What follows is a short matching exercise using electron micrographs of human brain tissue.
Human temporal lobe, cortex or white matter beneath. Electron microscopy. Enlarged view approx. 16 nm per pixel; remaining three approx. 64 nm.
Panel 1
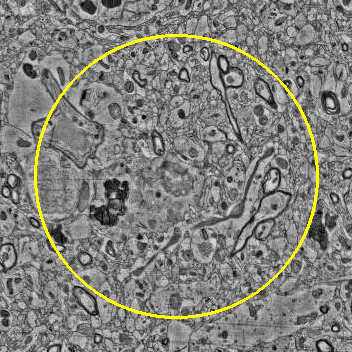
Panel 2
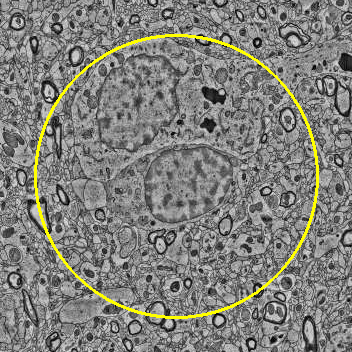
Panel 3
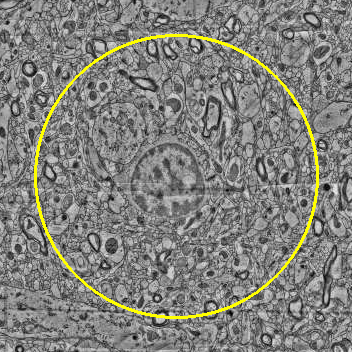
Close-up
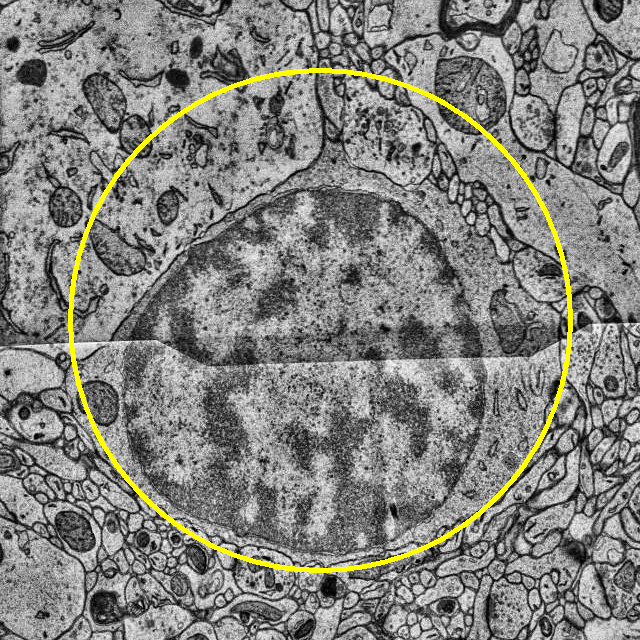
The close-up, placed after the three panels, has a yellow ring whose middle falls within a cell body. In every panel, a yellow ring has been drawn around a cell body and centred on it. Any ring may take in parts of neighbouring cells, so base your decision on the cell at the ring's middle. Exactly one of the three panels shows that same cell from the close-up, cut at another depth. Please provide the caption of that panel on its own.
Panel 3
